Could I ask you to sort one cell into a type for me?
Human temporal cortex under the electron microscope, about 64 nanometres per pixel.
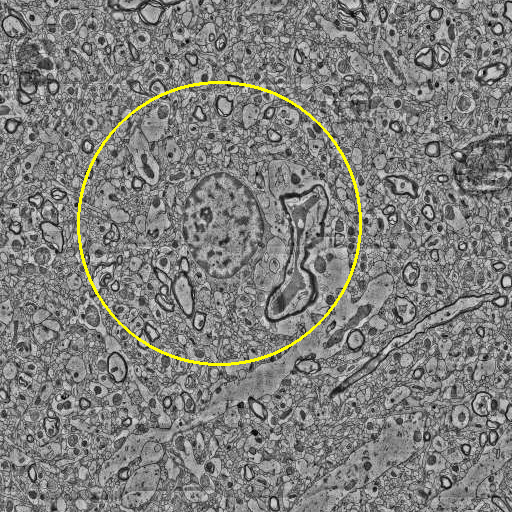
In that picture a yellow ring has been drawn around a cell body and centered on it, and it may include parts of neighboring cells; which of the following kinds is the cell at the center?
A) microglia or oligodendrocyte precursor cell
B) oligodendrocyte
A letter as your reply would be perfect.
B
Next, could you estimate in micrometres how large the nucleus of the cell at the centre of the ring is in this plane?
In this plane, about 7 micrometres in length and 5 in width.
